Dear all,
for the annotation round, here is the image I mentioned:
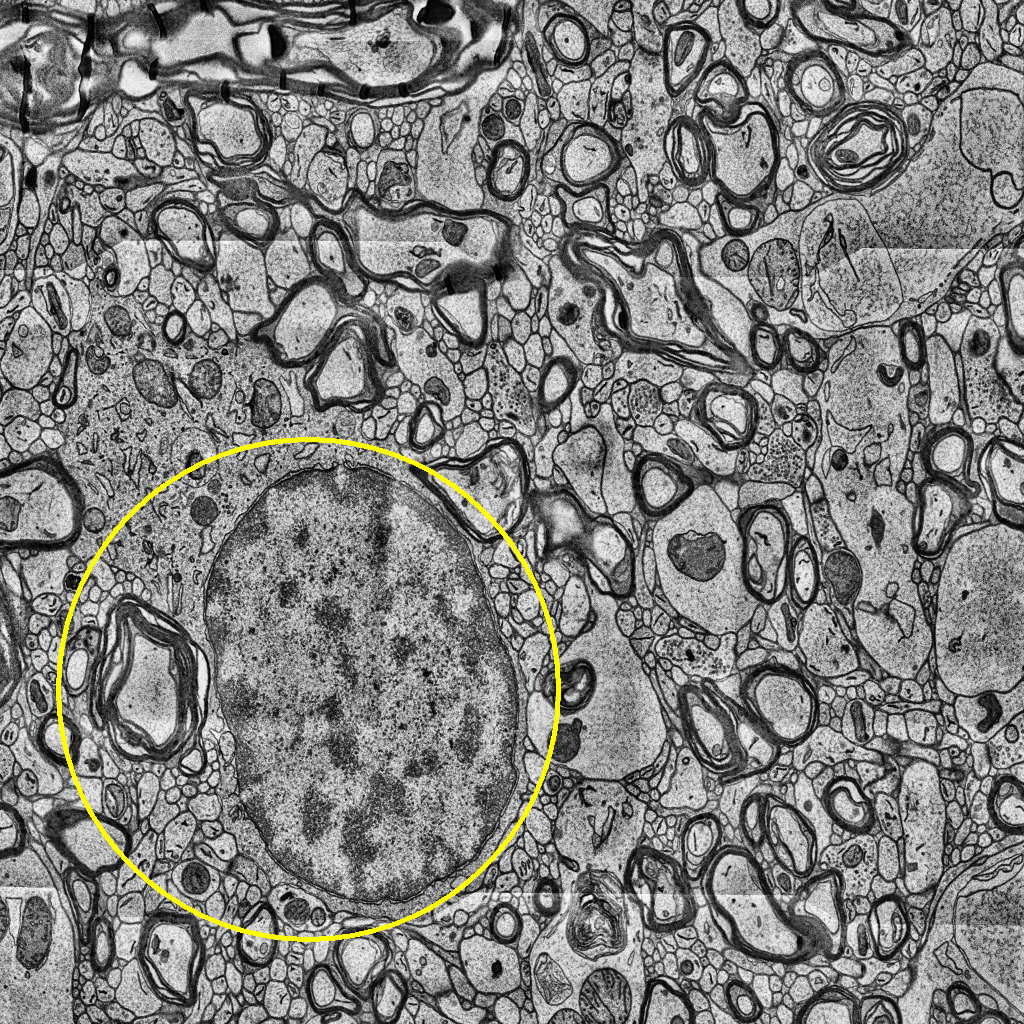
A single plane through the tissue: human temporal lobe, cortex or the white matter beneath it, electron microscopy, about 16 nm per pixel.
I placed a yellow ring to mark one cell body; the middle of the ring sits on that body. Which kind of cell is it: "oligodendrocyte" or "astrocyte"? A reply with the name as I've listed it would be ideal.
oligodendrocyte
